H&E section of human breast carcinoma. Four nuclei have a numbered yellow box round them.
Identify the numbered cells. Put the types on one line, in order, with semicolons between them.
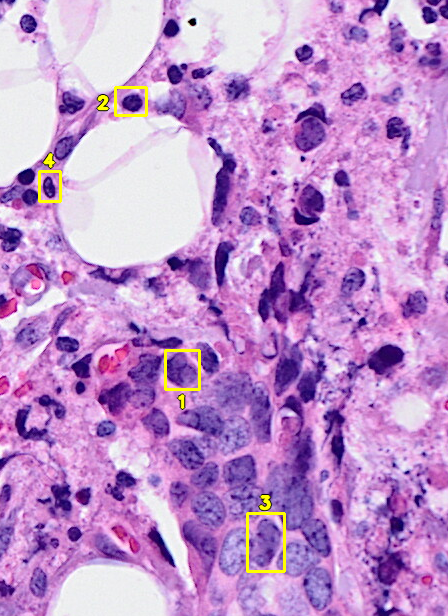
carcinoma cell; lymphocyte; carcinoma cell; lymphocyte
